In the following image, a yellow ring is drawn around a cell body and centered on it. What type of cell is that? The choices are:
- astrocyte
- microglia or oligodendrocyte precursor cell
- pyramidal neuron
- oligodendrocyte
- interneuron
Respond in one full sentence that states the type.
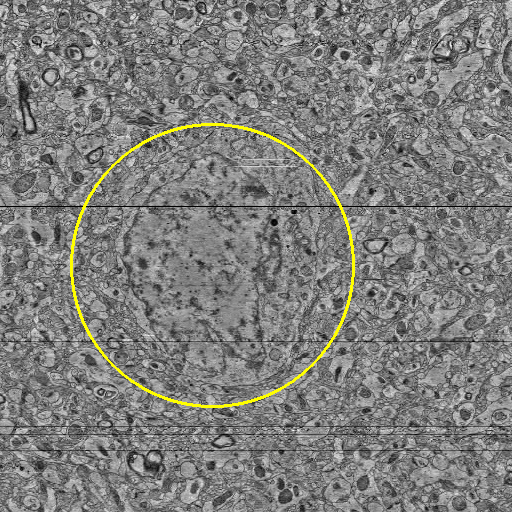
The cell at the center of the yellow ring in the image is an interneuron.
